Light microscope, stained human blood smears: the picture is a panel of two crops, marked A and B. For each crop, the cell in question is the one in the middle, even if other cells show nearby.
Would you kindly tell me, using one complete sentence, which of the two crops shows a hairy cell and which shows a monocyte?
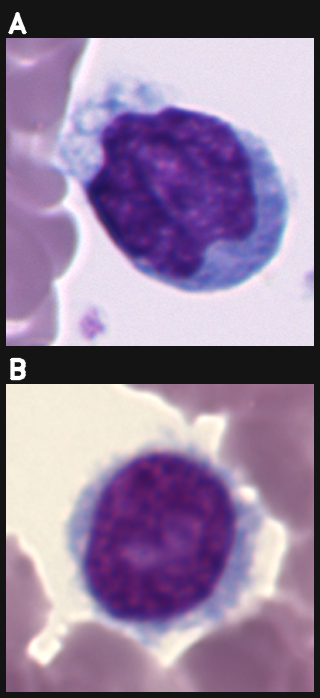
The designated cell in crop A is a monocyte, and the designated cell in crop B is a hairy cell.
